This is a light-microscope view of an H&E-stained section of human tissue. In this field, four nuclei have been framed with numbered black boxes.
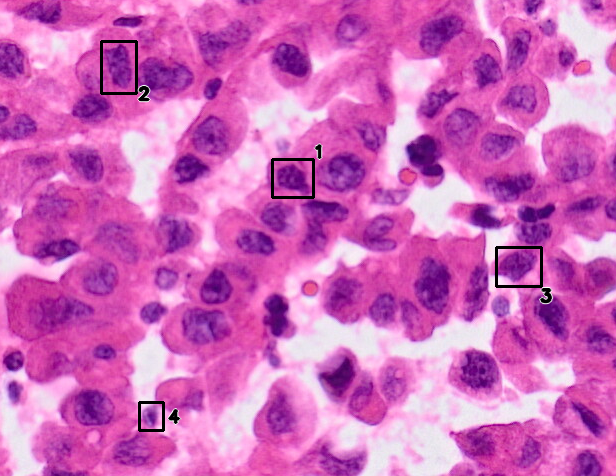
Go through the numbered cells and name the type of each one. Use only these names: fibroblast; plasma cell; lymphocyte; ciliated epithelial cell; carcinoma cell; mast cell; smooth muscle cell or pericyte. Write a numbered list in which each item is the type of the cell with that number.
1. carcinoma cell
2. carcinoma cell
3. carcinoma cell
4. lymphocyte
